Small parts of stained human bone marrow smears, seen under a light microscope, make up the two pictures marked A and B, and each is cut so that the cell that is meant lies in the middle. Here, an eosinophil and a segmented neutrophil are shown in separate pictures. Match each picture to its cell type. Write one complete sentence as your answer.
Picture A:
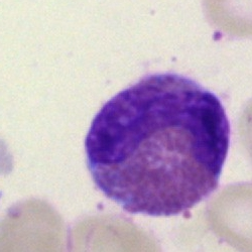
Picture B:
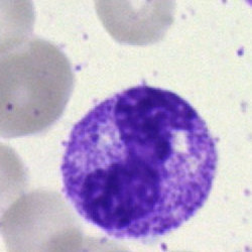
Picture A shows an eosinophil and picture B shows a segmented neutrophil.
